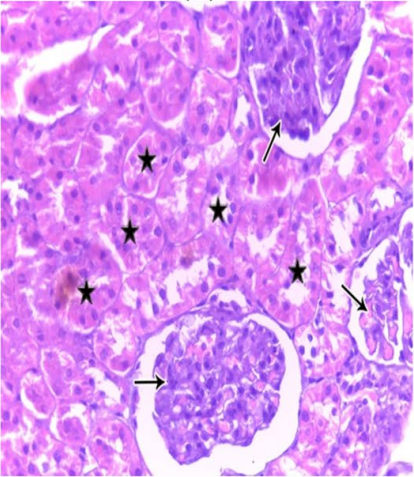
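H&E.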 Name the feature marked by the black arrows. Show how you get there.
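Rounded tufts of densely packed nuclei sit inside a clear space. Each tuft is surrounded by a thin capsule. So: glomeruli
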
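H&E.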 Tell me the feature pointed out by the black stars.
Tubules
